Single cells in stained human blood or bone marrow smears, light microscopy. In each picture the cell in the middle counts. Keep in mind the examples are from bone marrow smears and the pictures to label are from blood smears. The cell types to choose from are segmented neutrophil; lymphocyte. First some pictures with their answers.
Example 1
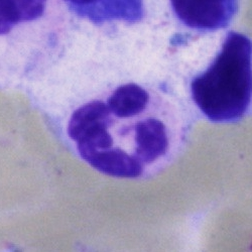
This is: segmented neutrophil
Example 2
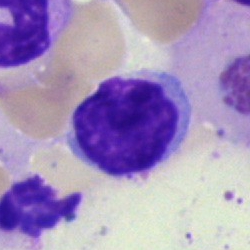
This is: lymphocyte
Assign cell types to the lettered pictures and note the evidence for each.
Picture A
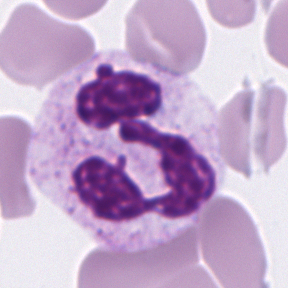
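Label: segmented neutrophil. The nucleus is divided into three lobes.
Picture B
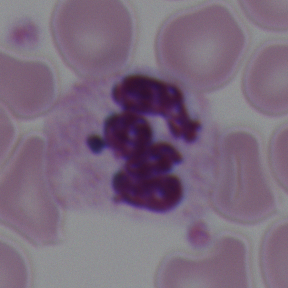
Label: segmented neutrophil. The cytoplasm is abundant and pale pinkish-lilac.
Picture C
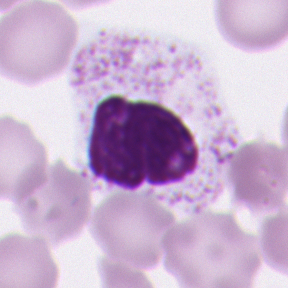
Label: segmented neutrophil. A single vertical cleft divides the nucleus into two lobes.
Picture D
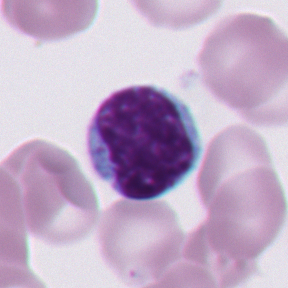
Label: lymphocyte. The cytoplasm forms only a scant rim around the nucleus.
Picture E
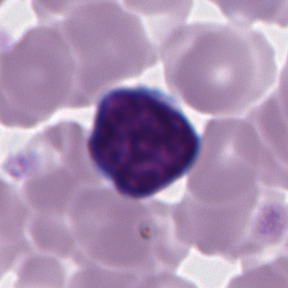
Label: lymphocyte. The nucleus is a single unlobed mass.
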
